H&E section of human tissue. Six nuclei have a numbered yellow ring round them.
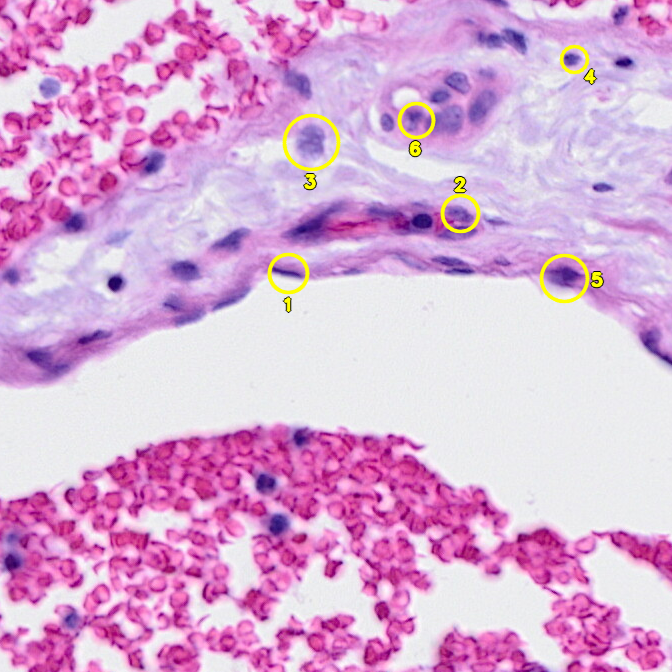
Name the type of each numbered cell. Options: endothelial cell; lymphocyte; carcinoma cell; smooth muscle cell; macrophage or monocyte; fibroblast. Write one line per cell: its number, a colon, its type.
1: endothelial cell
2: endothelial cell
3: fibroblast
4: lymphocyte
5: endothelial cell
6: endothelial cell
